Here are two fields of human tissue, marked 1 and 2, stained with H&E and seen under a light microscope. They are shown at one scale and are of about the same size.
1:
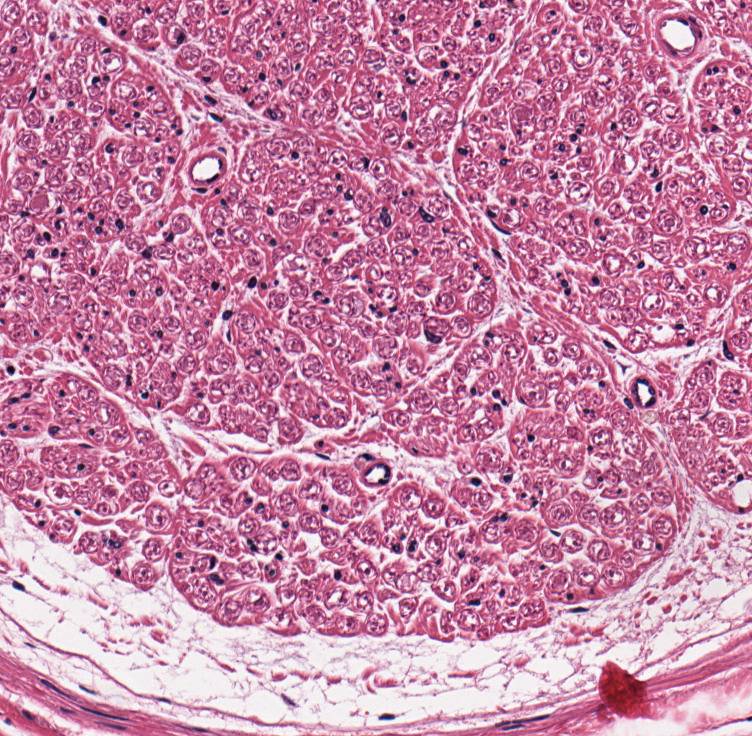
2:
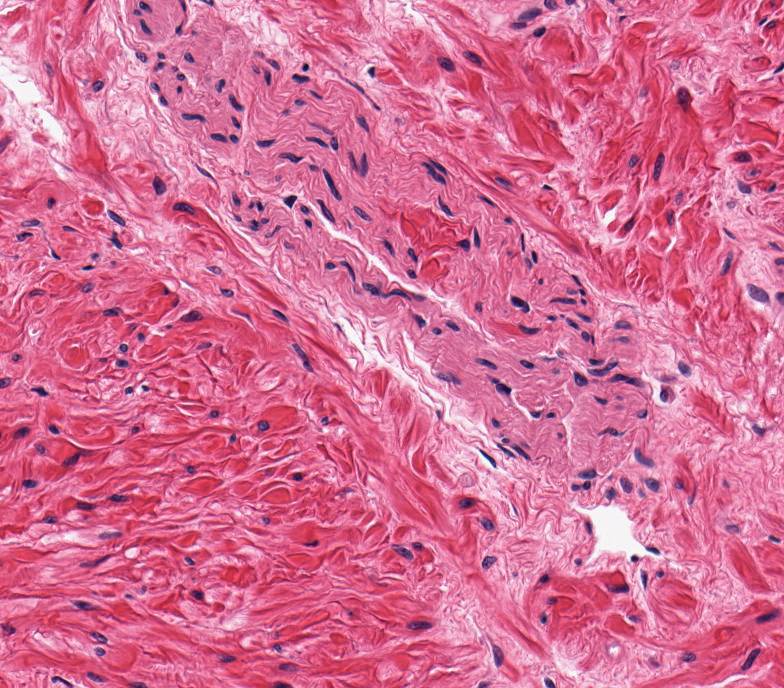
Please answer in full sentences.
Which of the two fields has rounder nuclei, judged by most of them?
On the whole the nuclei of field 1 are rounder than those of field 2.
